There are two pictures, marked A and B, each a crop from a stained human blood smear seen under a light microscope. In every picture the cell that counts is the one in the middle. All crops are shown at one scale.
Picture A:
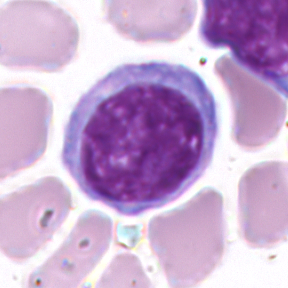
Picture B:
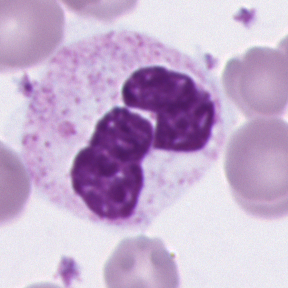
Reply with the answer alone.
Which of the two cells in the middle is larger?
B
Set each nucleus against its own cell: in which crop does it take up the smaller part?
B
